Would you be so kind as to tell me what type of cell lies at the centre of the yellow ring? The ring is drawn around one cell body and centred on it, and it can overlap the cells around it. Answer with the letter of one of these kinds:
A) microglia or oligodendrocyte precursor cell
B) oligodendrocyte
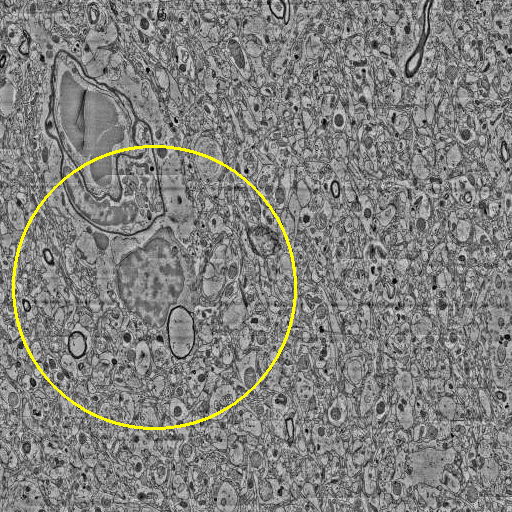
B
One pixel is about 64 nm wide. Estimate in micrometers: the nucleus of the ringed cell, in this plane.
The nucleus is approximately 6 micrometers long by 4 micrometers wide in this plane.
